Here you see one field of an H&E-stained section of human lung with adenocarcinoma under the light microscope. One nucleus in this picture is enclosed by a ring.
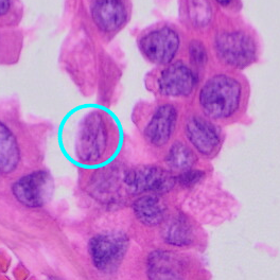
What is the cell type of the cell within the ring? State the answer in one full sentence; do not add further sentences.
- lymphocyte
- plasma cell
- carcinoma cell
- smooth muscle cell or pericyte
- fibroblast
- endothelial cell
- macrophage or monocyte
In terms of identity, the cell within the ring is a carcinoma cell.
